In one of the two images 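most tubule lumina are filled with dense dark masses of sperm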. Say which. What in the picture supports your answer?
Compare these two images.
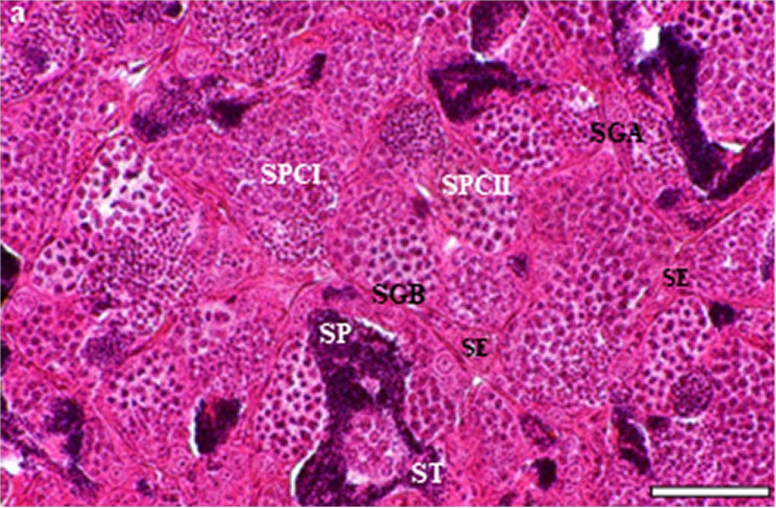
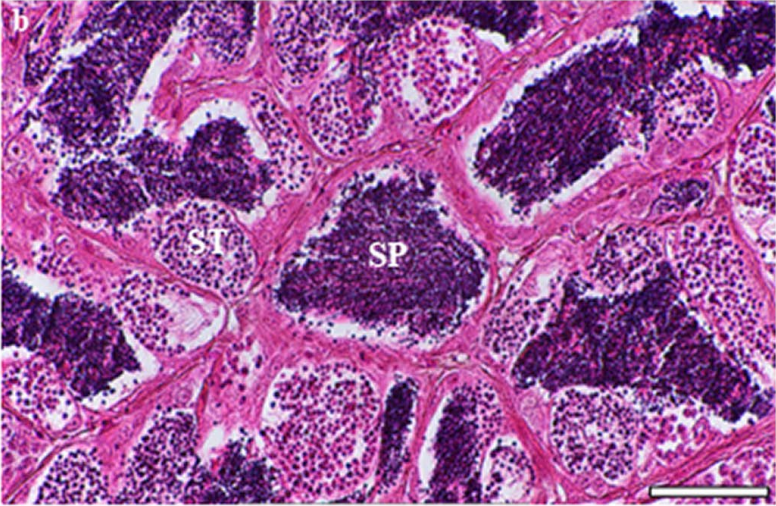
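Second image: most tubules hold large dark-purple masses of densely packed tiny cells.
Conclusion: the second image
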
